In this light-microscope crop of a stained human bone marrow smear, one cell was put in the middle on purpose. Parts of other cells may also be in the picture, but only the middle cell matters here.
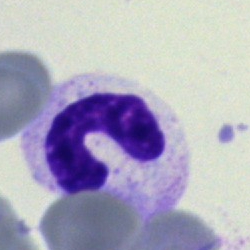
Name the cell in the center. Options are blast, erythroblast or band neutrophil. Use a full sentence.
The cell featured at the centre of this crop is a band neutrophil.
